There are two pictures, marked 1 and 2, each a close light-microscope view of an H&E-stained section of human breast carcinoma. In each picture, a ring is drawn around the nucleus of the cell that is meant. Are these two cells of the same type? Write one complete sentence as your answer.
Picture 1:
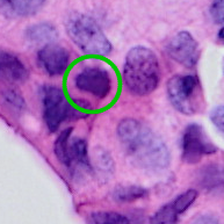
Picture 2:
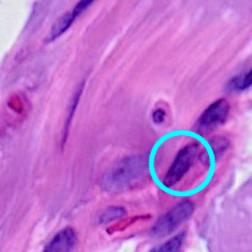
No, picture 1 shows a carcinoma cell and picture 2 shows an endothelial cell.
